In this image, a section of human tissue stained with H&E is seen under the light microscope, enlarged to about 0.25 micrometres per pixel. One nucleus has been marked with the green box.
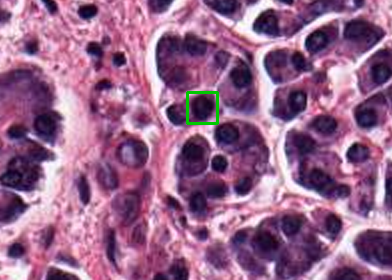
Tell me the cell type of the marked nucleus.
pancreatic acinar cell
